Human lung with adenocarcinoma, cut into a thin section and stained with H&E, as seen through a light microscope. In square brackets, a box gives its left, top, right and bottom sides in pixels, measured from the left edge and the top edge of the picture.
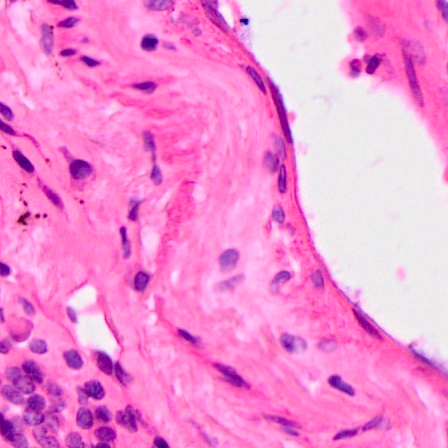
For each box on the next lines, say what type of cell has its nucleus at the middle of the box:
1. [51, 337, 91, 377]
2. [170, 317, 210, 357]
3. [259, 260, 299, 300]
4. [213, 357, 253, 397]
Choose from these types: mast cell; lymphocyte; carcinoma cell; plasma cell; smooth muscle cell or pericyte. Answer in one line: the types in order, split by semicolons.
lymphocyte; smooth muscle cell or pericyte; smooth muscle cell or pericyte; smooth muscle cell or pericyte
